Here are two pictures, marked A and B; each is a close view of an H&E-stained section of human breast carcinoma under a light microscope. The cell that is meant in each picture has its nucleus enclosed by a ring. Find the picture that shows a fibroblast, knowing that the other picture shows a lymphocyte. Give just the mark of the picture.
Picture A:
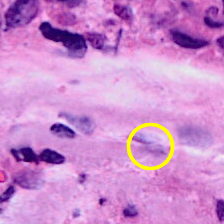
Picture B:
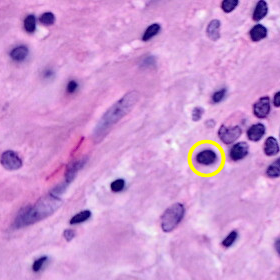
A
